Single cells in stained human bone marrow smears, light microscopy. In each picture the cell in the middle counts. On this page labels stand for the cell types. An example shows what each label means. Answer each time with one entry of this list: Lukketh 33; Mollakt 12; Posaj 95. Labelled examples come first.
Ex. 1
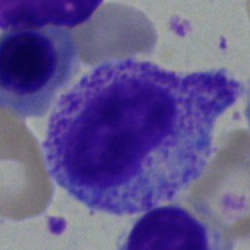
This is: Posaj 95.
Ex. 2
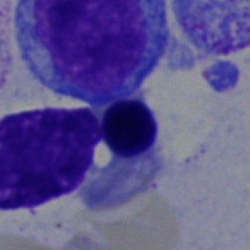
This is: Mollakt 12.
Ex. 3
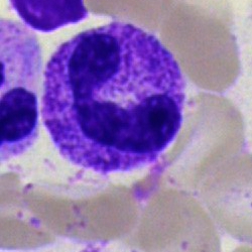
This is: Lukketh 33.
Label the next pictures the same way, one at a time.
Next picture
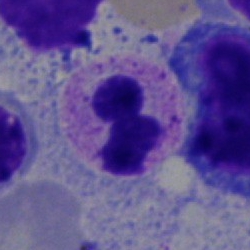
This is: Lukketh 33.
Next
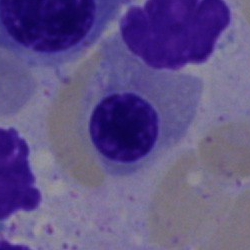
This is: Mollakt 12.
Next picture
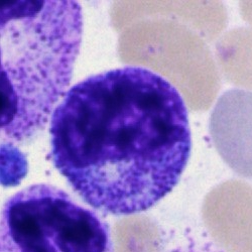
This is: Posaj 95.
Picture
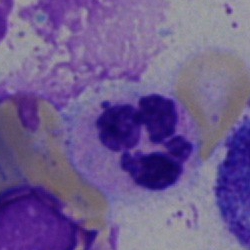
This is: Lukketh 33.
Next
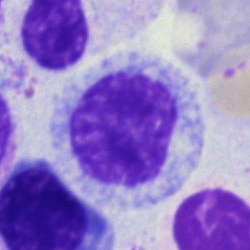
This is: Posaj 95.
